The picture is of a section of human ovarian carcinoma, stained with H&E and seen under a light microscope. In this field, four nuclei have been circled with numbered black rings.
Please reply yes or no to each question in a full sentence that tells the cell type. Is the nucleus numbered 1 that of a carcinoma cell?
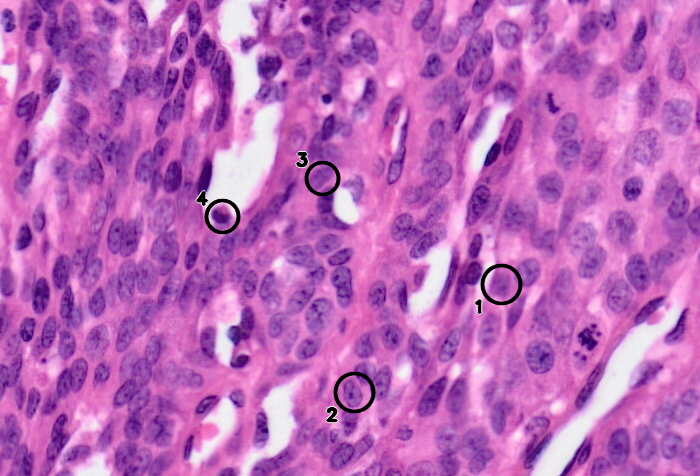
Yes, the cell that the number 1 labels is a carcinoma cell.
